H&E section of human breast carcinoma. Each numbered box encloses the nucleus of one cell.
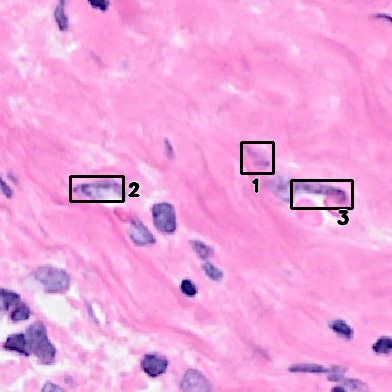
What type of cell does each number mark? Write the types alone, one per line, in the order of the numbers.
fibroblast
endothelial cell
endothelial cell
